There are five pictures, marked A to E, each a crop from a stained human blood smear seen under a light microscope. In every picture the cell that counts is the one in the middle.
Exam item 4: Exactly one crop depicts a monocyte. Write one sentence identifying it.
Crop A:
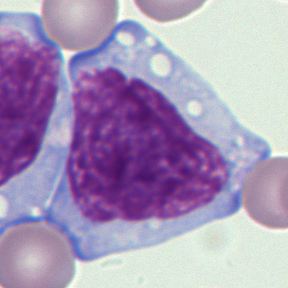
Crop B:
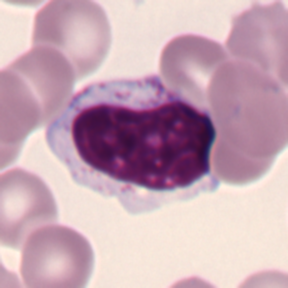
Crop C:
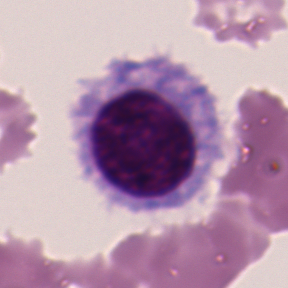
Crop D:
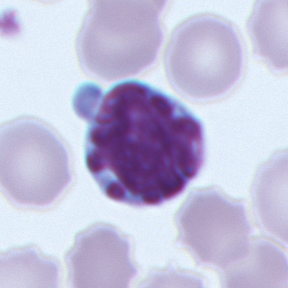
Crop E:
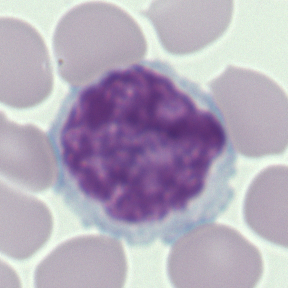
Crop E is the crop in which a monocyte is shown.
